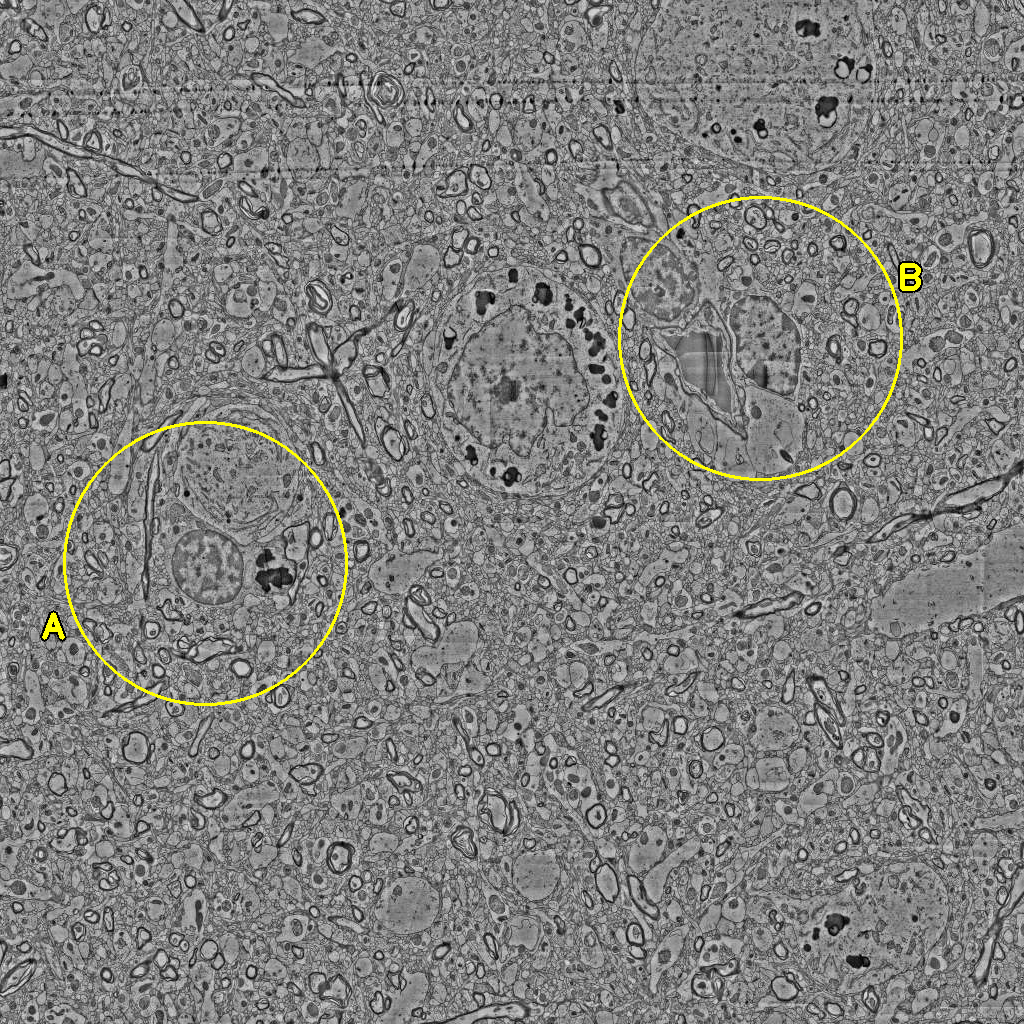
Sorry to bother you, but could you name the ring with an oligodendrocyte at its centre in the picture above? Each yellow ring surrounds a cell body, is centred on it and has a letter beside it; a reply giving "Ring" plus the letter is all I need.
Ring A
